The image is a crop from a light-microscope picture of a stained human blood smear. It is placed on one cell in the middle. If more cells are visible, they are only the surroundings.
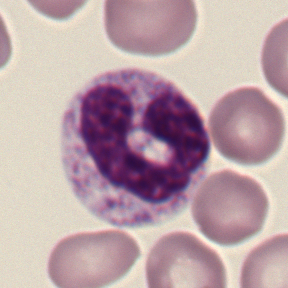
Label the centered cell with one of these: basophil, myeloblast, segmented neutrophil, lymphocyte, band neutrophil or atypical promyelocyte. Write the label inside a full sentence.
In the middle of this smear crop is a segmented neutrophil.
